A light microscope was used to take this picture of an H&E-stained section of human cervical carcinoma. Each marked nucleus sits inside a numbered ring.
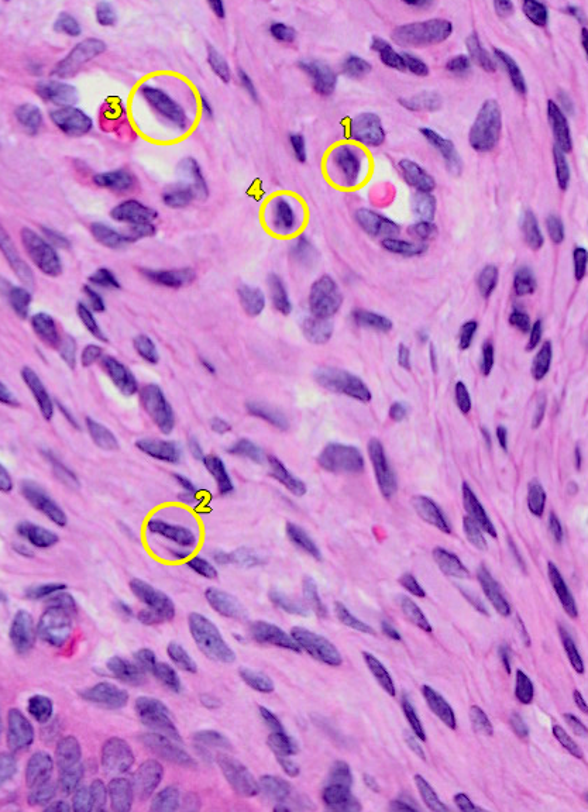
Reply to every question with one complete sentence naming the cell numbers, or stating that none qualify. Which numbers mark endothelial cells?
The cells tagged with numbers 1 and 3 are endothelial cells.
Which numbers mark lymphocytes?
Just the cell marked 4 is a lymphocyte; none of the other marked cells is.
